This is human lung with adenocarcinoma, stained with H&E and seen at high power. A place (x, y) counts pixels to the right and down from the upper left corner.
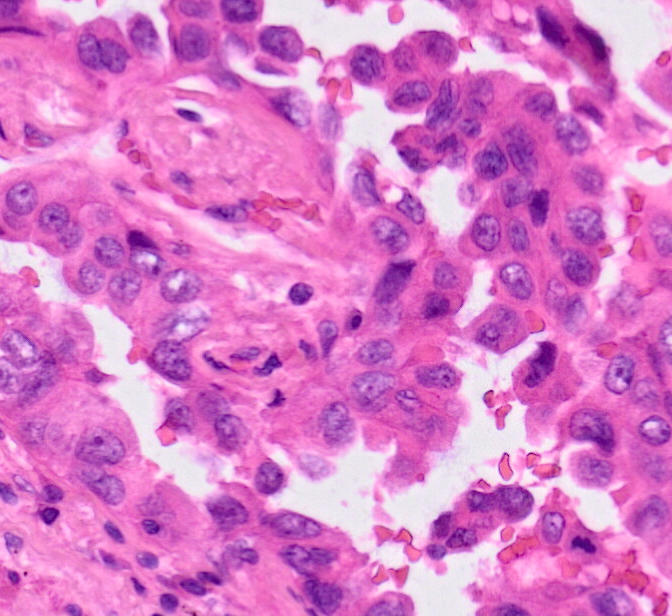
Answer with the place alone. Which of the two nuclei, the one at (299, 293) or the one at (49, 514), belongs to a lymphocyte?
(299, 293)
